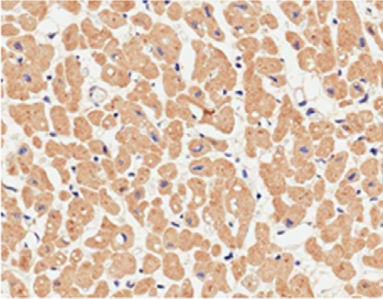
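Heart muscle cut mostly across, with closely packed cardiomyocytes whose cytoplasm is evenly stained brown. Their nuclei are blue and sit in the middle of the fibres, while thin pale interstitial spaces with a few small nuclei separate the fibres.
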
